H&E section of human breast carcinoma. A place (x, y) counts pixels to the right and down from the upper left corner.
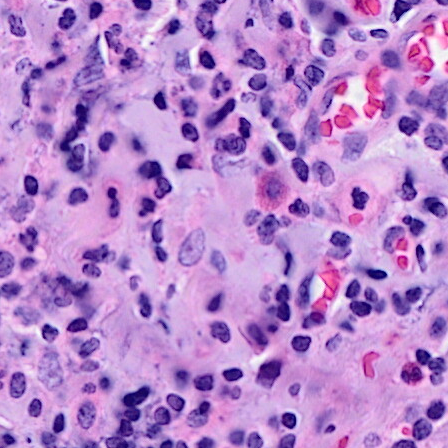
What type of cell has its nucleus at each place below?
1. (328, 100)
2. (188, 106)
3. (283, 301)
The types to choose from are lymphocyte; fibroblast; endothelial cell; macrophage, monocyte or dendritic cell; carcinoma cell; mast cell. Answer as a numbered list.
1. endothelial cell
2. lymphocyte
3. lymphocyte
